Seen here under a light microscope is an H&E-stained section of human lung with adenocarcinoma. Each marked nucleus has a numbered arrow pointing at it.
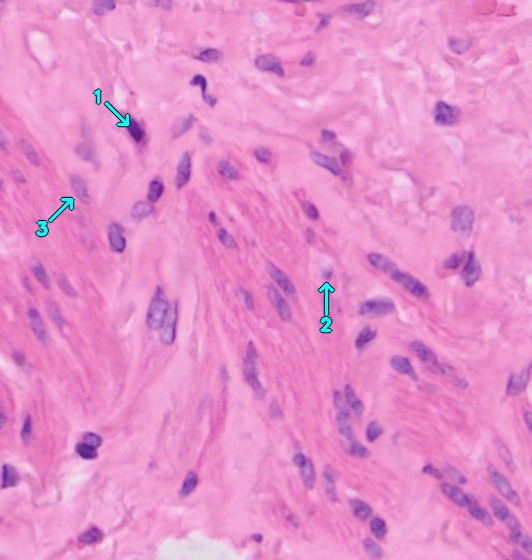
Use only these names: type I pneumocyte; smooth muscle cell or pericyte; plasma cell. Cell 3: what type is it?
smooth muscle cell or pericyte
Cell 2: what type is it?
smooth muscle cell or pericyte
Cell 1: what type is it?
plasma cell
